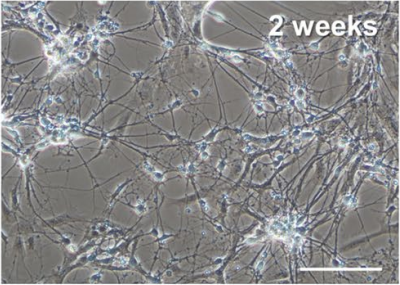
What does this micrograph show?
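Many cell bodies gather in clusters, from which bundles of processes radiate across the dish. The processes cross and interweave, covering much of the field between the clusters.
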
